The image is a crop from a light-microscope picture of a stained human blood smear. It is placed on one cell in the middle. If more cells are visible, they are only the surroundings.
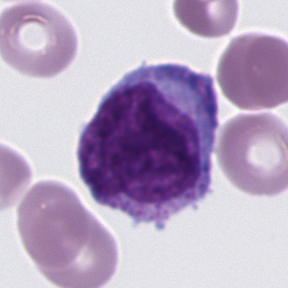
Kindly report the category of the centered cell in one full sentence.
The cell of interest, in the center, is an atypical promyelocyte.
